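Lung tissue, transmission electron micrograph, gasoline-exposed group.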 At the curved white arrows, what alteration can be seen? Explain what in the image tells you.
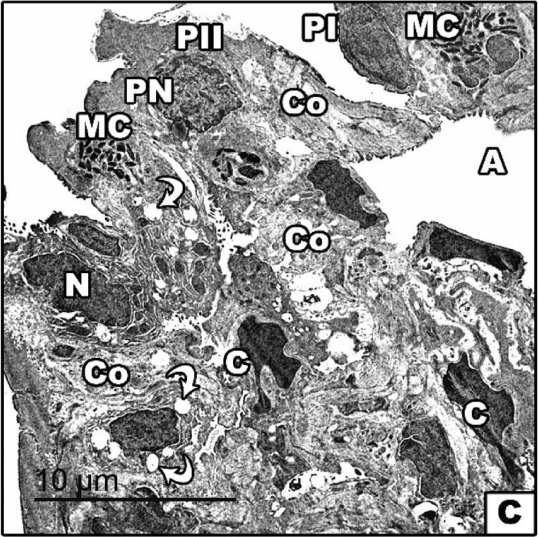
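The curved arrows point to small round clear spaces within cell cytoplasm. Several such pale round spaces are scattered through the thickened tissue.
Conclusion: cytoplasmic vacuoles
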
